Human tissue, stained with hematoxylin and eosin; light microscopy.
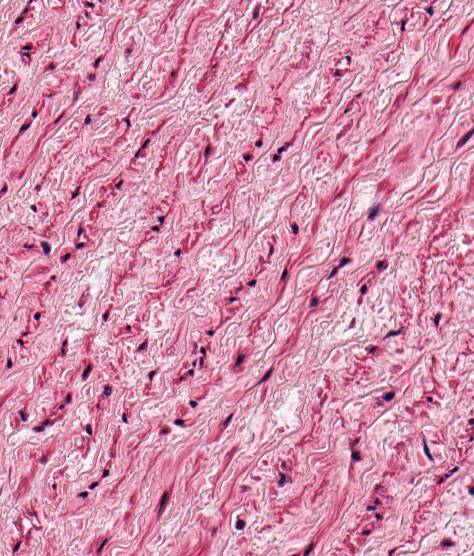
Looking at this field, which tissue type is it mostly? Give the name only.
tunica media of an artery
